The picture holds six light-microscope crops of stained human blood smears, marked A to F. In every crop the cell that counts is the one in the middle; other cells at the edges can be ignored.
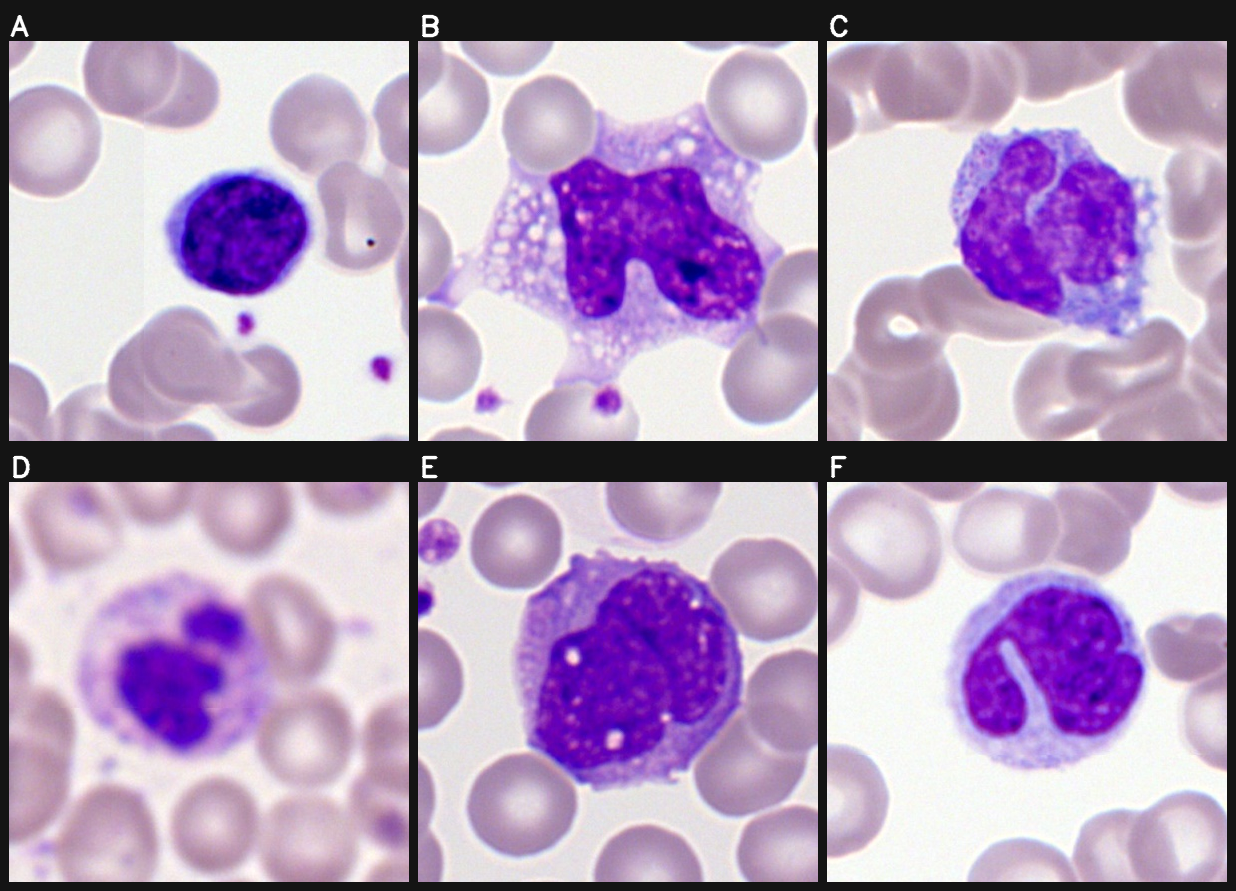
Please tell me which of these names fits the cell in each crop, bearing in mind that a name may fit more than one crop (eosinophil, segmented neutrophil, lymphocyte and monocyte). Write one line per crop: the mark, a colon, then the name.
A: lymphocyte
B: monocyte
C: monocyte
D: segmented neutrophil
E: monocyte
F: monocyte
